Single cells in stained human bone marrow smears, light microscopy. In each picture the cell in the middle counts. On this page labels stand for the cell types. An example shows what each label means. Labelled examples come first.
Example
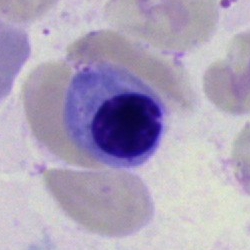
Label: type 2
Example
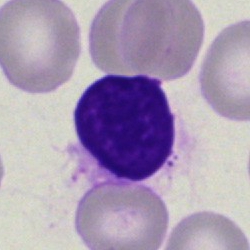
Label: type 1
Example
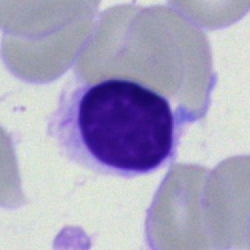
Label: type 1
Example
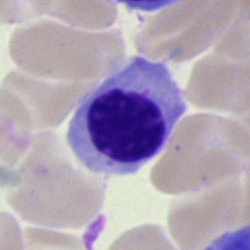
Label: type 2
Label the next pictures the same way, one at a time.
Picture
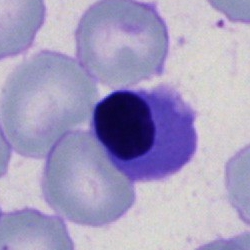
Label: type 2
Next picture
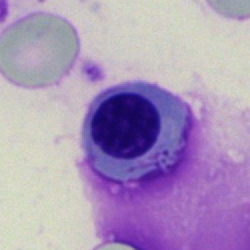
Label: type 2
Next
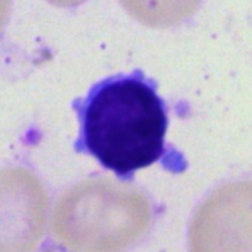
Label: type 1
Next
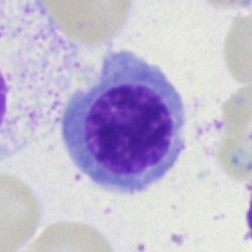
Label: type 2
